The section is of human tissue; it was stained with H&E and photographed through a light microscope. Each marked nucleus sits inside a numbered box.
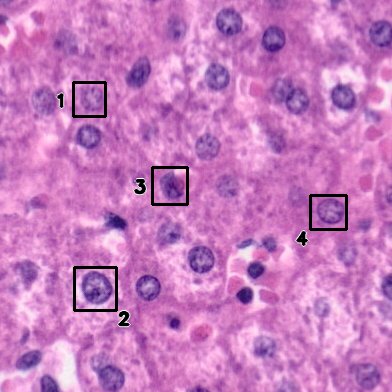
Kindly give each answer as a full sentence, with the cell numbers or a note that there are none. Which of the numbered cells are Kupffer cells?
The numbered cells and the Kupffer cells have no member in common.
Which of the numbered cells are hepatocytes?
The cells tagged with numbers 1, 2 and 4 are hepatocytes.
